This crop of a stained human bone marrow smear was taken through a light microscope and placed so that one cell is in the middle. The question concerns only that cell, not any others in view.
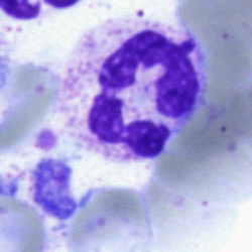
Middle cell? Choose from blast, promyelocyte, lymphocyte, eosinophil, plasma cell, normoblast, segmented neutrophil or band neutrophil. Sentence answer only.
For this crop, the cell in the middle is a segmented neutrophil.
